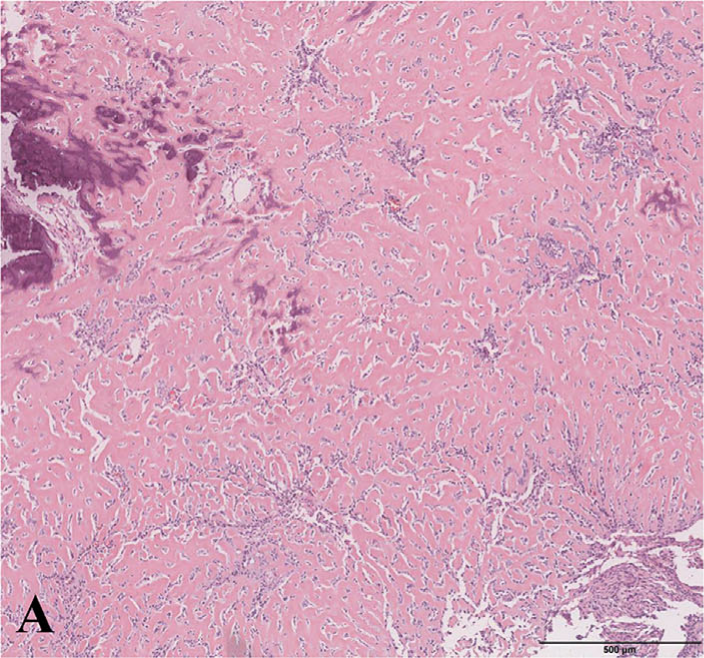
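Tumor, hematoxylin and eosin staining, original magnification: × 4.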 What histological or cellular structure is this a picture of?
densely sclerotic hyaline matrix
